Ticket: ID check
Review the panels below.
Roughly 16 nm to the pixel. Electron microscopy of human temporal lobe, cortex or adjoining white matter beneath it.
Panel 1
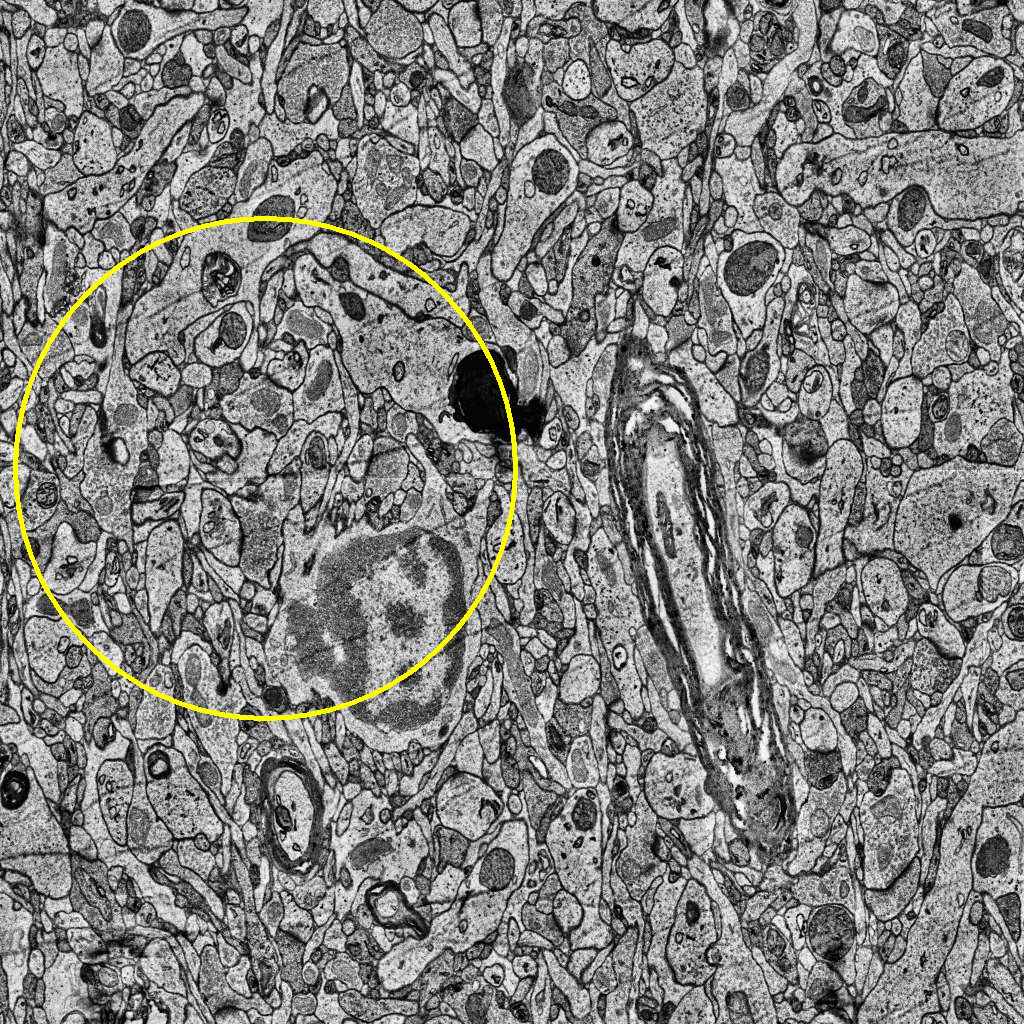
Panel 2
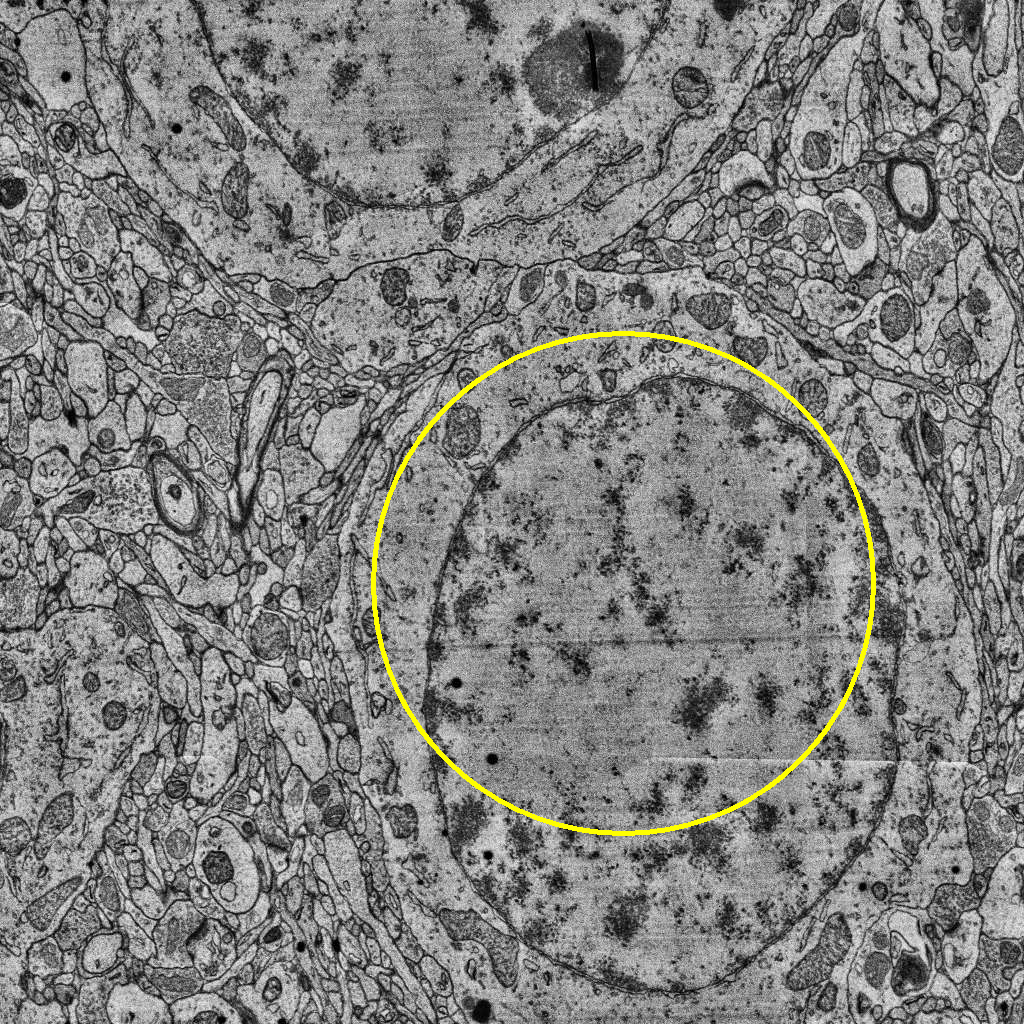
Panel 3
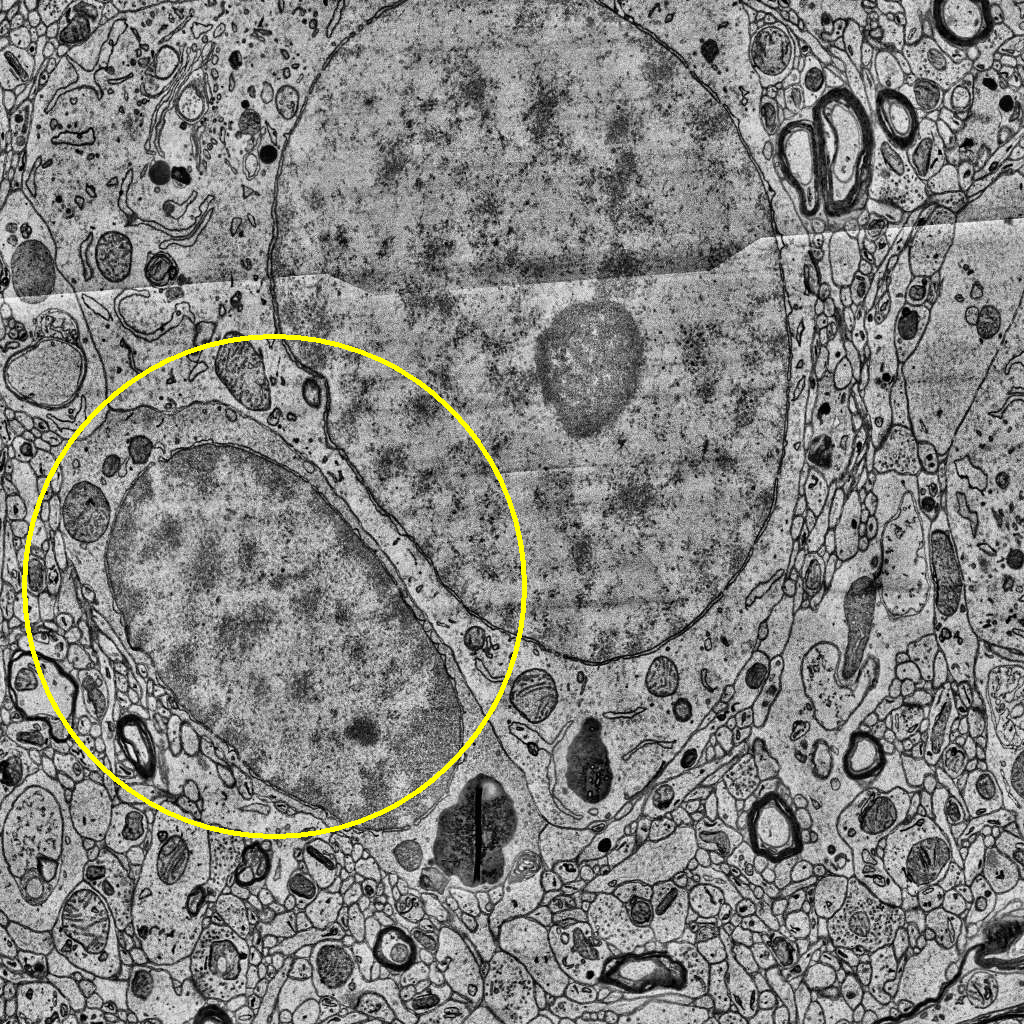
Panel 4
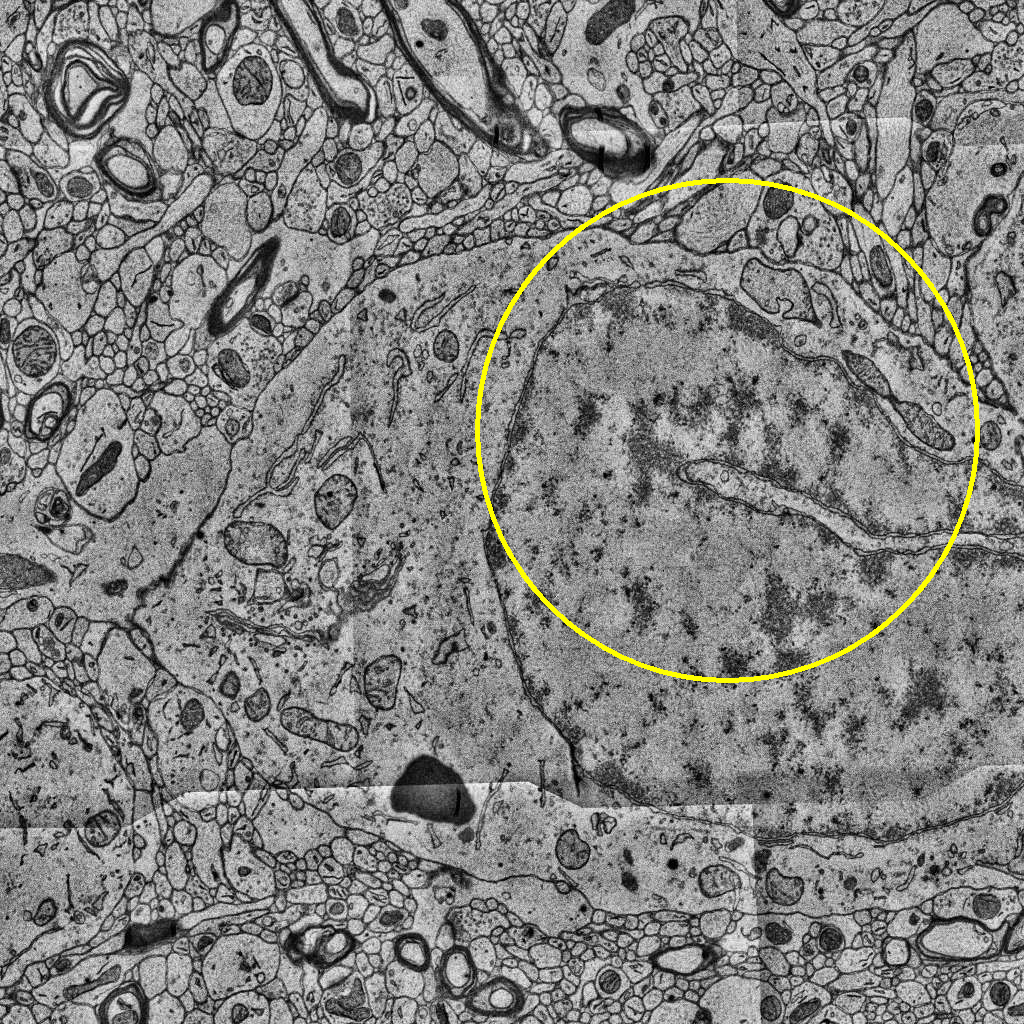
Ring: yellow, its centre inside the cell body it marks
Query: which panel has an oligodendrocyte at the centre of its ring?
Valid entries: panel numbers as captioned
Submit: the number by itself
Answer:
3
